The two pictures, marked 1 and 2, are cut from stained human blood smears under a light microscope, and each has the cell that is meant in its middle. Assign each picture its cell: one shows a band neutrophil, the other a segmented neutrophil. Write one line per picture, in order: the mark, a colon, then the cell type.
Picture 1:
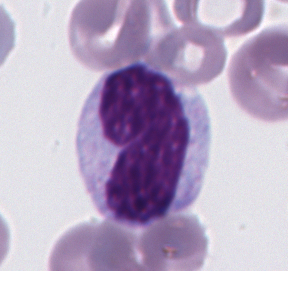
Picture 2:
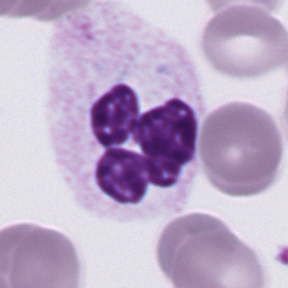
1: band neutrophil
2: segmented neutrophil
